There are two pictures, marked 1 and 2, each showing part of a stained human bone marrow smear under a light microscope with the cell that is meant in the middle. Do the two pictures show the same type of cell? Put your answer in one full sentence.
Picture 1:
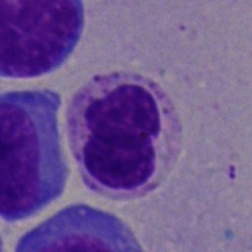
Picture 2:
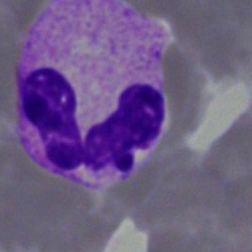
Yes, both cells are segmented neutrophils.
